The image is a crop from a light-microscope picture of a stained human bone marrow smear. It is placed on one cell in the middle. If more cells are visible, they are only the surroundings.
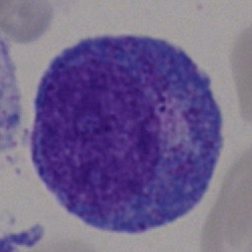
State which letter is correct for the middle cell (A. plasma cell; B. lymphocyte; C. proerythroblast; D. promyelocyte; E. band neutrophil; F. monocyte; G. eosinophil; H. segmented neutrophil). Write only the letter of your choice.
D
